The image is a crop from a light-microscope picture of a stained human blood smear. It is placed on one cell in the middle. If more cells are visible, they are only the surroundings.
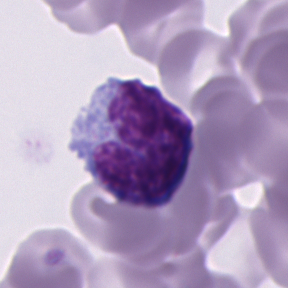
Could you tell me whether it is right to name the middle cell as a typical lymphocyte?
yes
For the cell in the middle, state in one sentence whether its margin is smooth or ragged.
The outer contour of the cell is irregular, with ragged portions or projections along it.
